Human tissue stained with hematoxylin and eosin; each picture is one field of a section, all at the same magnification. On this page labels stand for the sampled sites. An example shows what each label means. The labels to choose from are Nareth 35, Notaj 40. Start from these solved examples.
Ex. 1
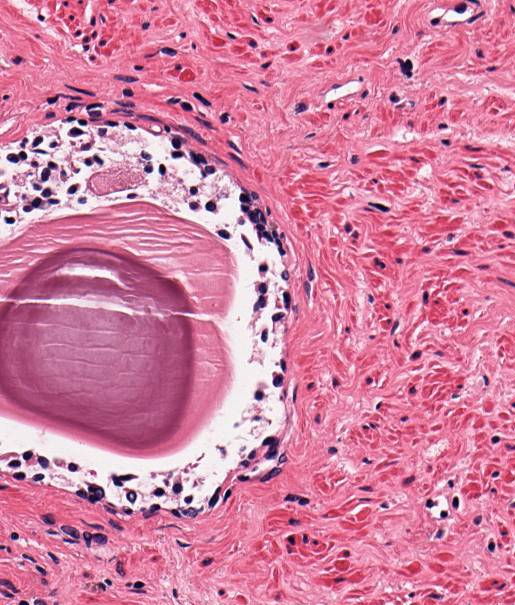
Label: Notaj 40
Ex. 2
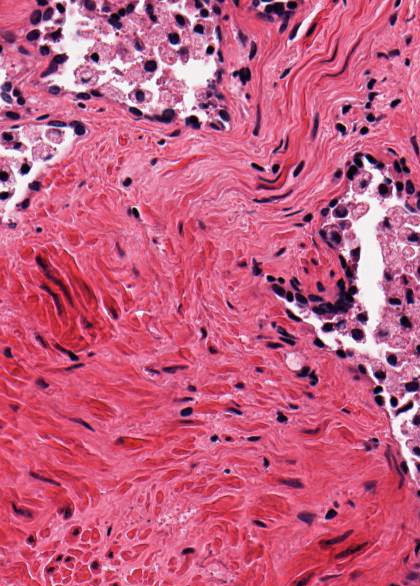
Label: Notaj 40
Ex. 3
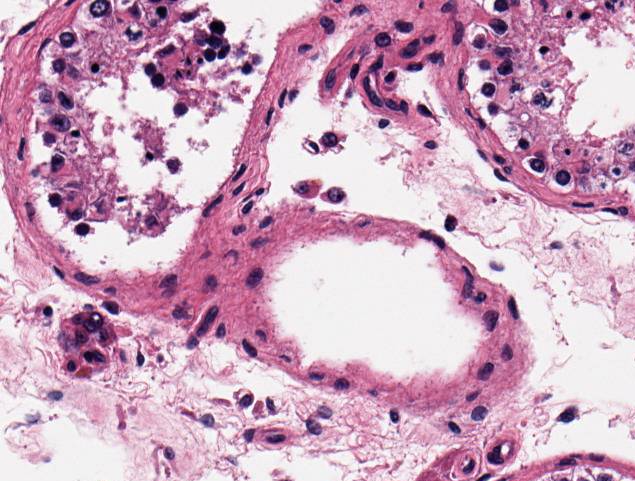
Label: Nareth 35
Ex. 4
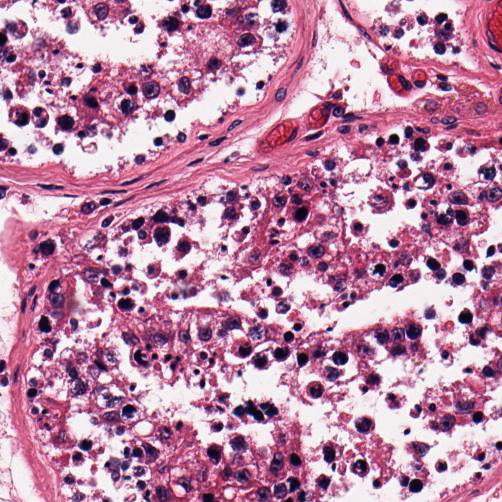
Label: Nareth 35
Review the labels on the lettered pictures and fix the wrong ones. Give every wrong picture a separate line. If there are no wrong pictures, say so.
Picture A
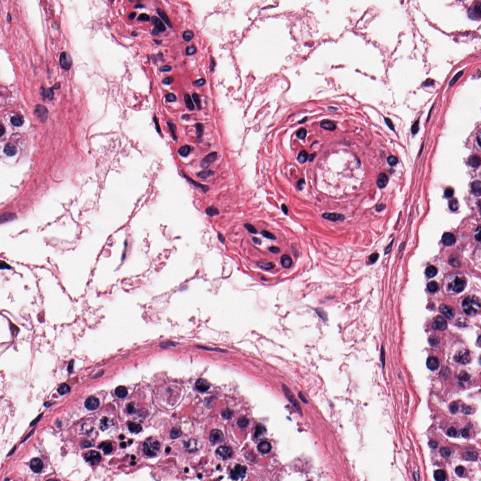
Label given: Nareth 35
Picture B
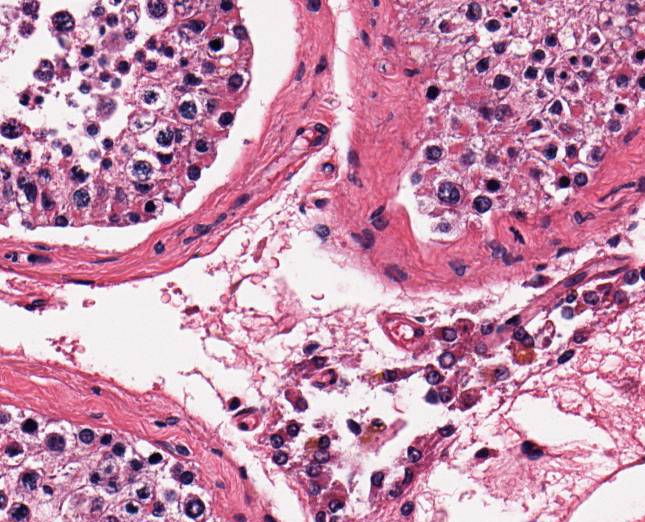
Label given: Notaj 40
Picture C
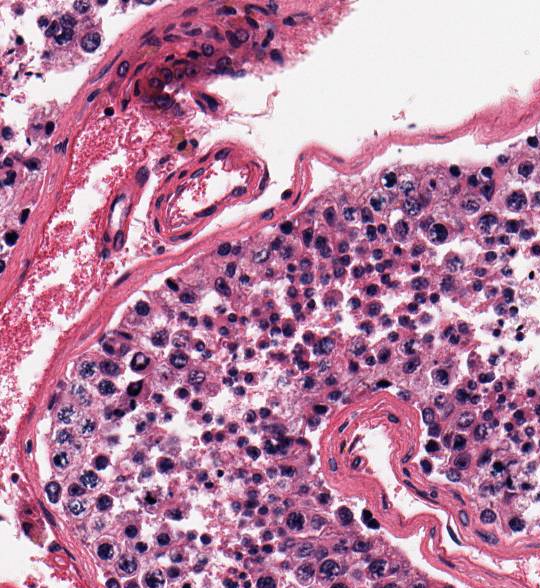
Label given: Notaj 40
B: Nareth 35, not Notaj 40
C: Nareth 35, not Notaj 40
